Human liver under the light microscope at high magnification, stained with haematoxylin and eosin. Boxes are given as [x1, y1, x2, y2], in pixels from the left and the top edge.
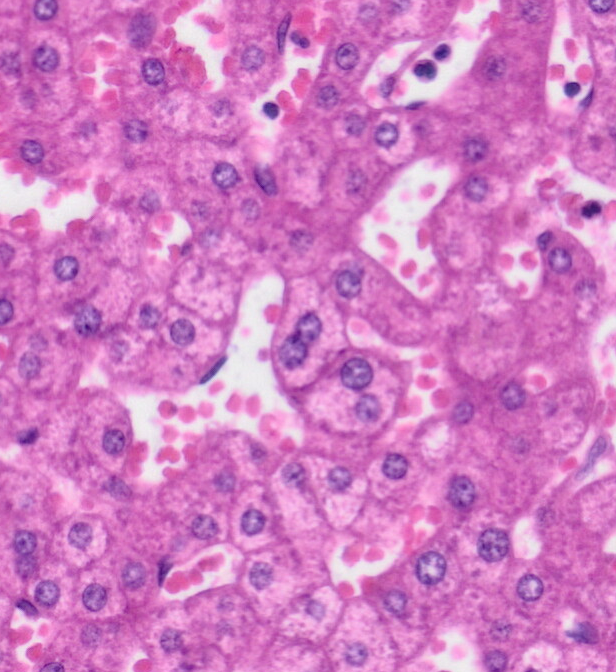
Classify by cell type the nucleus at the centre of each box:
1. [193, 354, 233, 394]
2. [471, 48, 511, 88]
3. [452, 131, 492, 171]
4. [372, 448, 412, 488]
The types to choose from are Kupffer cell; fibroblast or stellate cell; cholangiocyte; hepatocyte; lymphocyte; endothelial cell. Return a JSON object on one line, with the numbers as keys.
{"1": "endothelial cell", "2": "hepatocyte", "3": "hepatocyte", "4": "hepatocyte"}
